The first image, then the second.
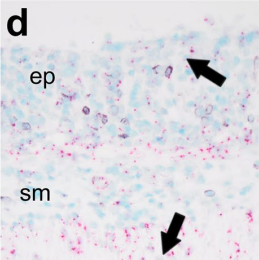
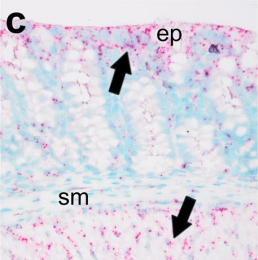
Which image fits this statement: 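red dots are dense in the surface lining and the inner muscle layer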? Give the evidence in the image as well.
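The second image. Second image: many red dots crowd the surface lining and the inner muscle layer.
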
